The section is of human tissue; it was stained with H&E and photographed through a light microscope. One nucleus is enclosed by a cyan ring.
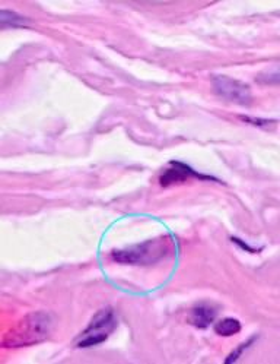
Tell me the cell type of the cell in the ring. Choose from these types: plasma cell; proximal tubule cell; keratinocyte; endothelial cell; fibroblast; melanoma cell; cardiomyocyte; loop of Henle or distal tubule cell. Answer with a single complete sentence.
Placed in its cell category, the cell in the ring is a fibroblast.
